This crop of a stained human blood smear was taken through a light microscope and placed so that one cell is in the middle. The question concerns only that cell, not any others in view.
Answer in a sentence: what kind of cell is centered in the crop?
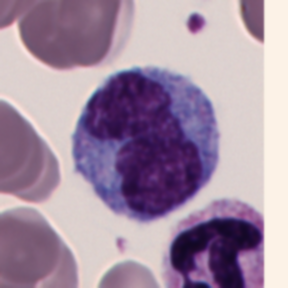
In the middle of this smear crop, the cell is a monocyte.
